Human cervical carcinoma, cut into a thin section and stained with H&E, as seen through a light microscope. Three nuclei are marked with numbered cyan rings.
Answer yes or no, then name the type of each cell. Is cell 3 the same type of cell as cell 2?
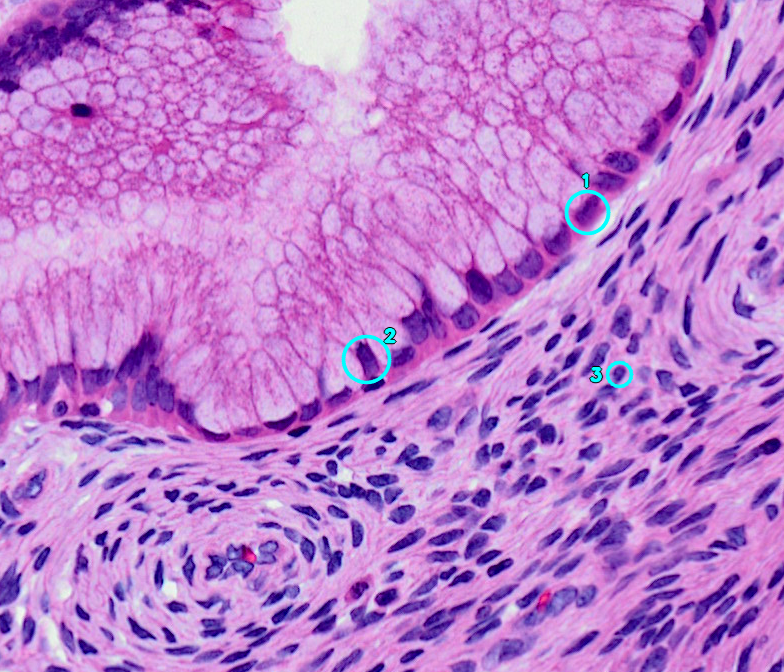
No, cell number 3 is a fibroblast and cell number 2 is a secretory epithelial cell.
